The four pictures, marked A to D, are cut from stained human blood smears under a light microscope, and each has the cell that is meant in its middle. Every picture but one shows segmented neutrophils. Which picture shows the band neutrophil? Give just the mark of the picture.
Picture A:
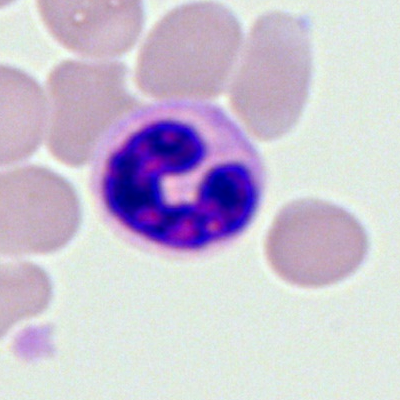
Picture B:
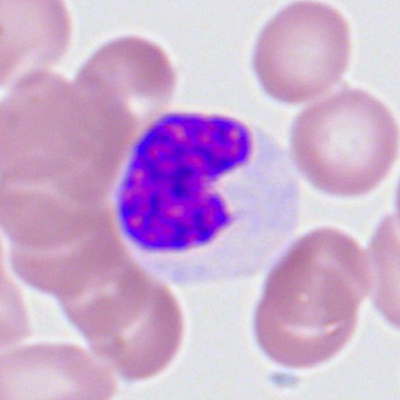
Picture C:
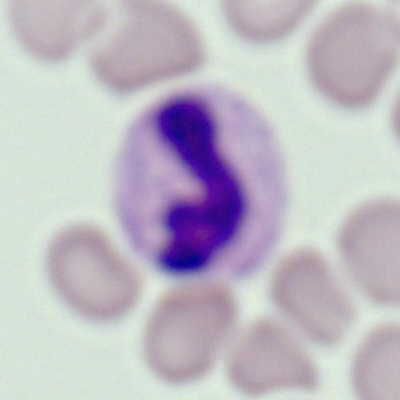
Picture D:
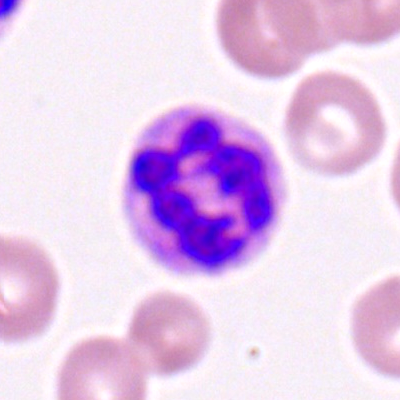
B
